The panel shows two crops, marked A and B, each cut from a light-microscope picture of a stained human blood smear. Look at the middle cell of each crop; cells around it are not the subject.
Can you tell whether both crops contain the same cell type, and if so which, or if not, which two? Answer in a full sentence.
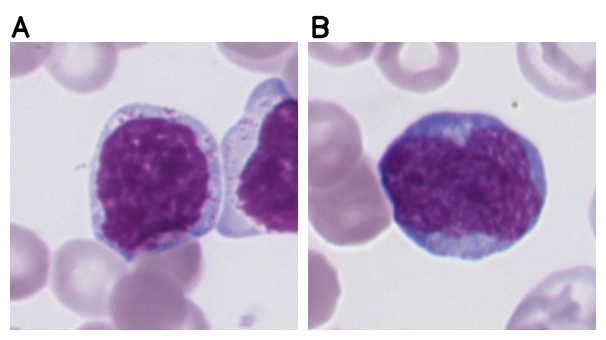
No, crop A contains a large granular lymphocyte; a monocyte is what crop B contains.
